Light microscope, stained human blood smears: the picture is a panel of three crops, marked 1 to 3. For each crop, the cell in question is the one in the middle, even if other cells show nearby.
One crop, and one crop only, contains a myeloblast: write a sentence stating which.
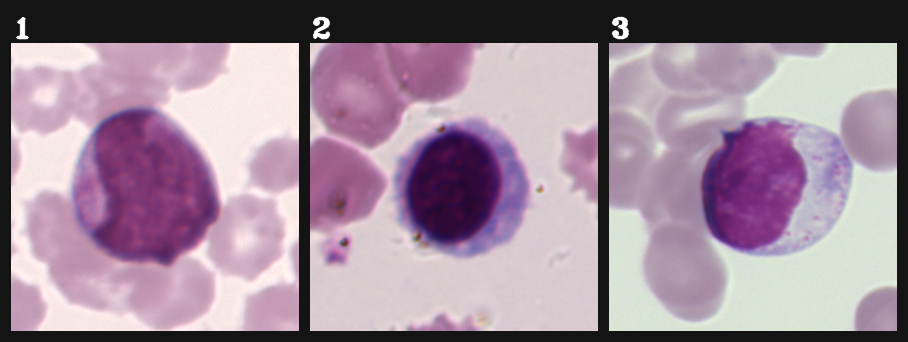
The crop marked 1 is the one that shows a myeloblast.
